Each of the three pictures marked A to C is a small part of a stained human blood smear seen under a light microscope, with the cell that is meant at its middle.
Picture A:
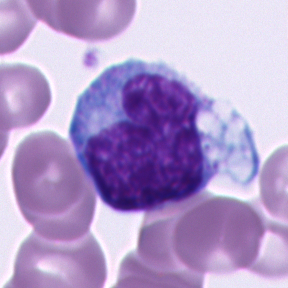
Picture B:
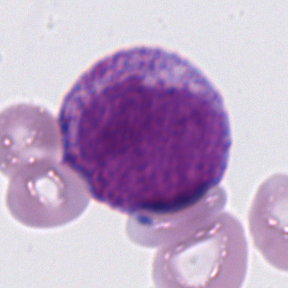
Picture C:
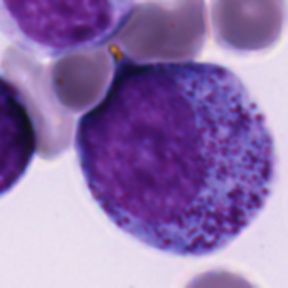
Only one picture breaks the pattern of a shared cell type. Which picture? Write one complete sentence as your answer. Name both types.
The others show promyelocytes, but picture A shows a monocyte.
